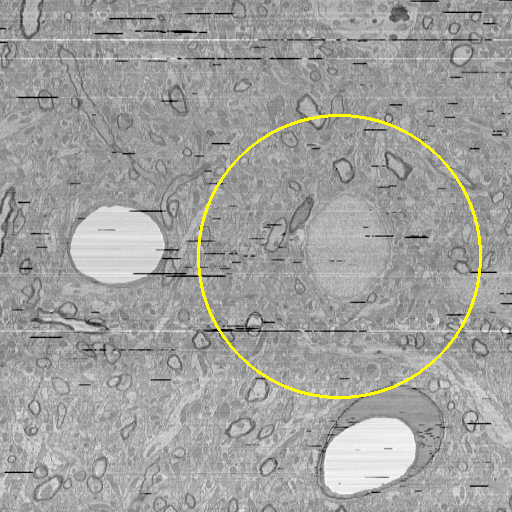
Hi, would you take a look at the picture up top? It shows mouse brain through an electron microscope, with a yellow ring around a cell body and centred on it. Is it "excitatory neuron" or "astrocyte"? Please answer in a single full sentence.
The best fit for the cell in the middle of the ring is an astrocyte, I reckon.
